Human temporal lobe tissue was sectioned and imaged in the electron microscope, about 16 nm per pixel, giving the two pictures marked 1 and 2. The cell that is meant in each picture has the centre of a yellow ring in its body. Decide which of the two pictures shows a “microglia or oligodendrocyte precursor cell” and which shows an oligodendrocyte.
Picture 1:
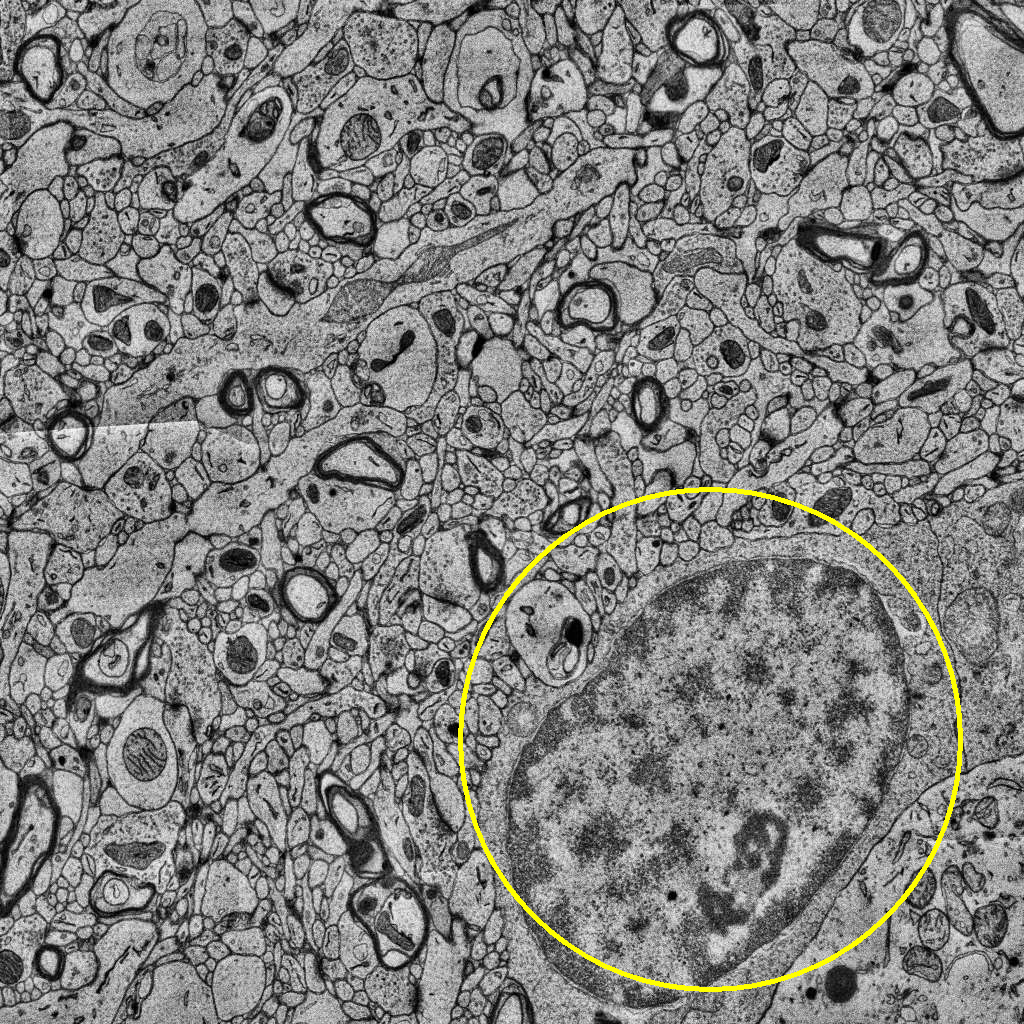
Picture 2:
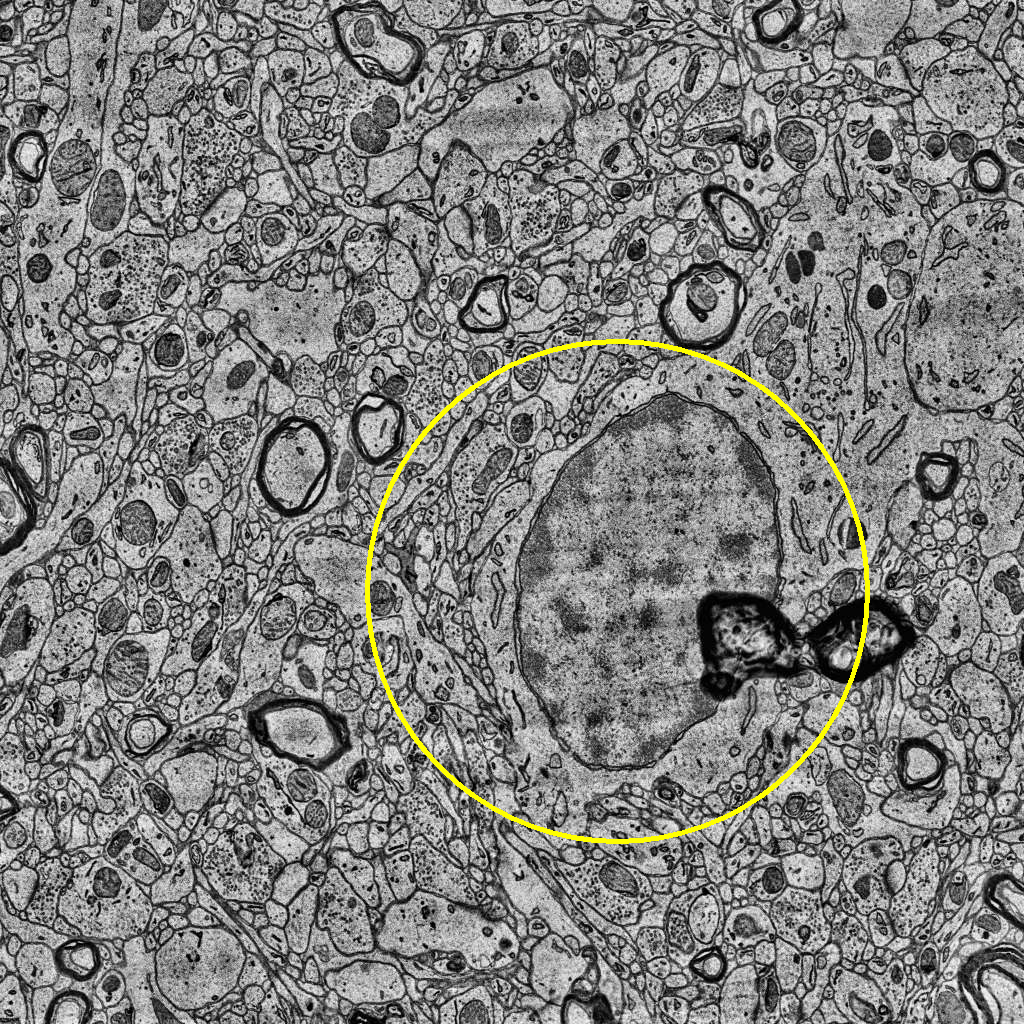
It is picture 1 that shows an oligodendrocyte, and picture 2 that shows a “microglia or oligodendrocyte precursor cell”.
